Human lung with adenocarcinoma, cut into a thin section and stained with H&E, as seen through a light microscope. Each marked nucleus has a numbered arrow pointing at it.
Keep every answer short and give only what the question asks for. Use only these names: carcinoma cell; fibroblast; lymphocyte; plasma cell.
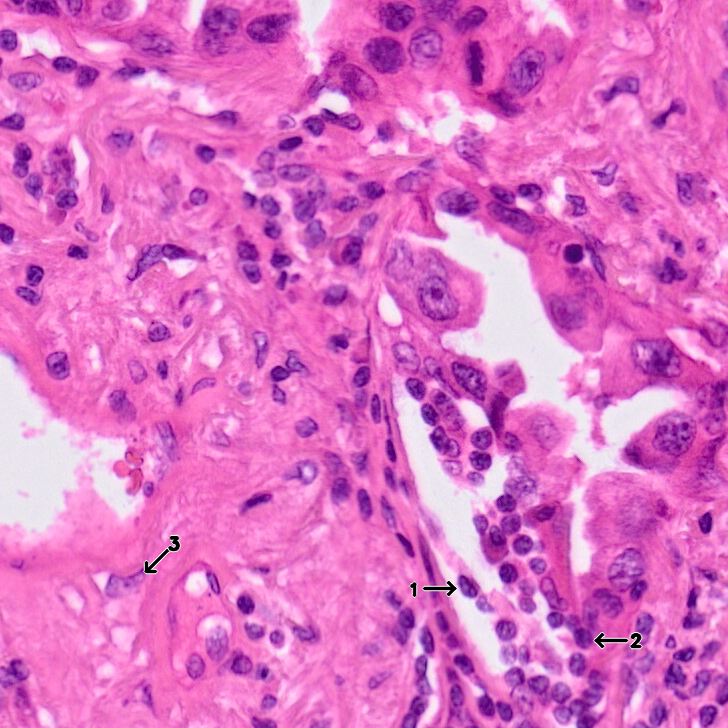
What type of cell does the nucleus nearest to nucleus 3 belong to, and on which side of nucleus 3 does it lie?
a fibroblast; to the left of nucleus 3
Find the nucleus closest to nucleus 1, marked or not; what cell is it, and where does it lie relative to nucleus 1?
a lymphocyte, below and to the right of nucleus 1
